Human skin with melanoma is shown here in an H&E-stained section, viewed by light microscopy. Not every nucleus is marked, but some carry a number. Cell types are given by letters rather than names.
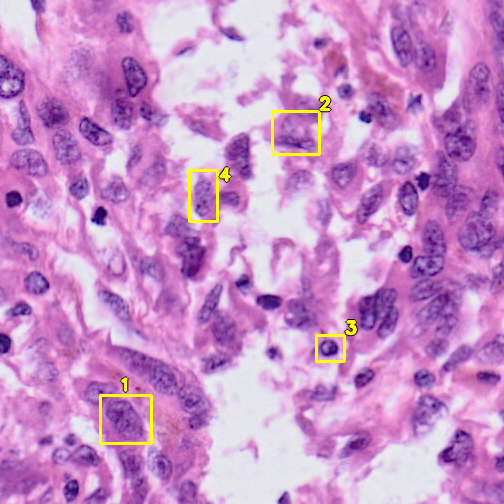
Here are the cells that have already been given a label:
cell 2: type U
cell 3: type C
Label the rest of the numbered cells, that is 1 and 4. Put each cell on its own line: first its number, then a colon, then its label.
1: type U
4: type U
